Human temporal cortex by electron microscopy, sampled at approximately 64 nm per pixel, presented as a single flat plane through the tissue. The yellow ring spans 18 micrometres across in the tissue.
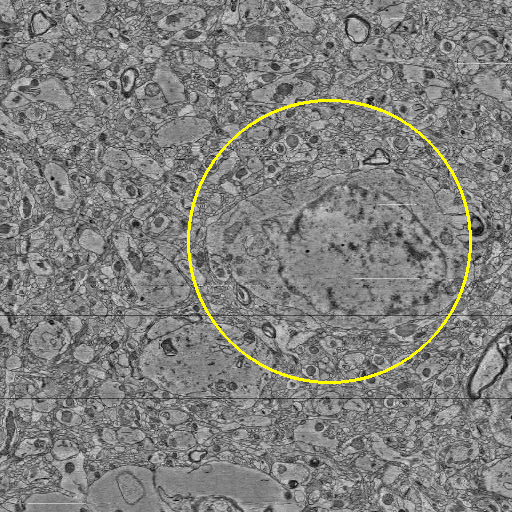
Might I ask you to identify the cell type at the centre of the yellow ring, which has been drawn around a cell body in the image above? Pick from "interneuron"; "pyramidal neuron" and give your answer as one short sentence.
The centre of the ring falls on an interneuron.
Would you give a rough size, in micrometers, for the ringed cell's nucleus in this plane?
The ringed cell's nucleus measures approximately 11 by 9 micrometres in this plane.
